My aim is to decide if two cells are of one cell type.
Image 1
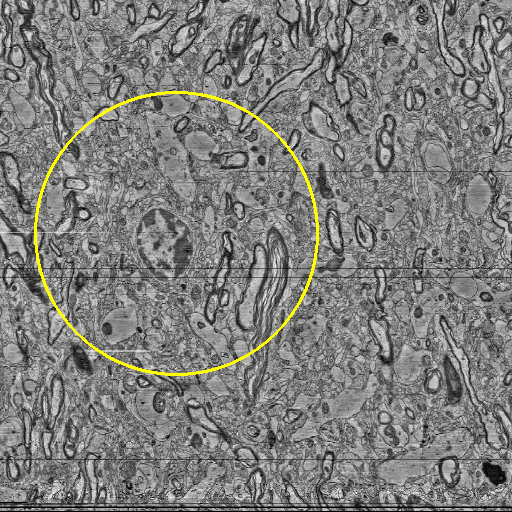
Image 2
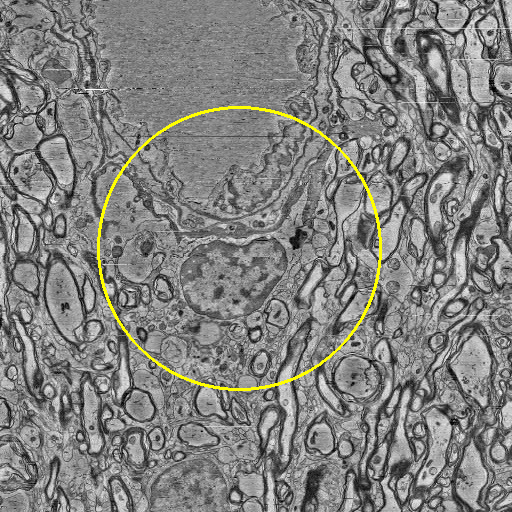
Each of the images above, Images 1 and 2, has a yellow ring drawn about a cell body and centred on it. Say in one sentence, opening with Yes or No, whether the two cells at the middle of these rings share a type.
Yes, in Images 1 and 2 the cells at the middle of the rings share one type.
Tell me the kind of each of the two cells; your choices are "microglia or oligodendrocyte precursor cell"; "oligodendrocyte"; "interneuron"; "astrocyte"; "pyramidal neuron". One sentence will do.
Each of the two cells is a microglial cell or oligodendrocyte precursor cell.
